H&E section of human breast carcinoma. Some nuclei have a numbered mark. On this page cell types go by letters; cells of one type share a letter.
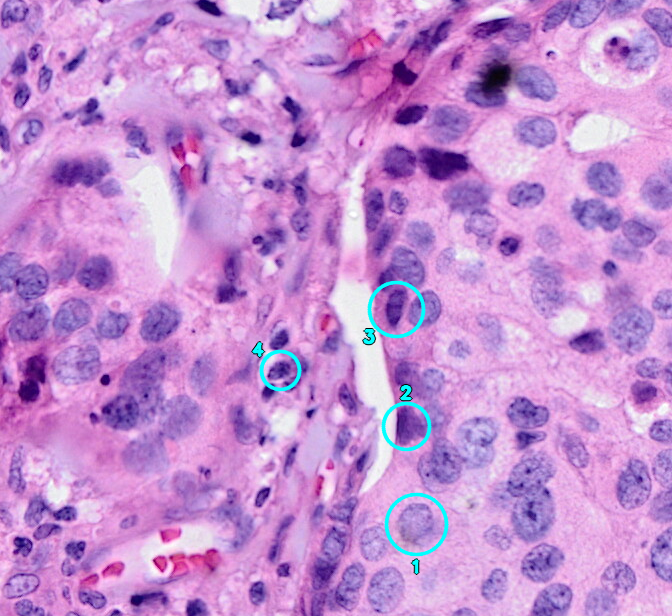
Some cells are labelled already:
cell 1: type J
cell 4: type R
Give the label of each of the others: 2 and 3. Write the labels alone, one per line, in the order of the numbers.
type J
type J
